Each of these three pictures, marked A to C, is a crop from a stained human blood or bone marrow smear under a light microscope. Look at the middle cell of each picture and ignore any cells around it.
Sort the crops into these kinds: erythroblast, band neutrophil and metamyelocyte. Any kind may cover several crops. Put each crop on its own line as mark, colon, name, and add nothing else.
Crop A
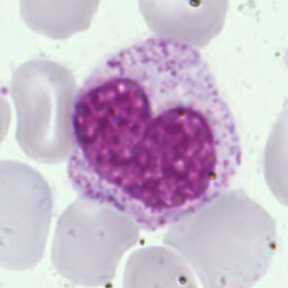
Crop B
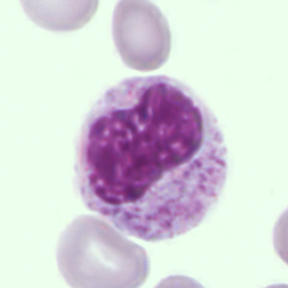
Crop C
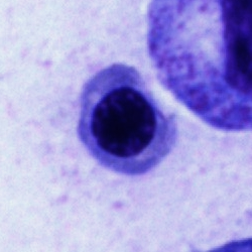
A: band neutrophil
B: metamyelocyte
C: erythroblast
